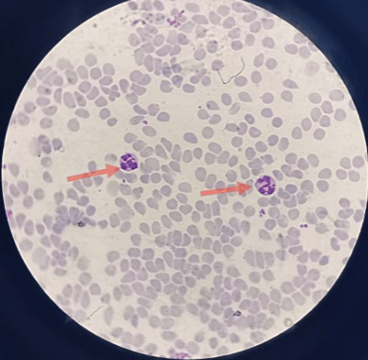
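This is a peripheral blood smear in which two white cells, neutrophils, stand out among a dense field of red cells. The red cells around them are pale, round to oval and lack nuclei, lying crowded and partly overlapping. A few tiny purple specks, likely platelets, are scattered between them.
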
